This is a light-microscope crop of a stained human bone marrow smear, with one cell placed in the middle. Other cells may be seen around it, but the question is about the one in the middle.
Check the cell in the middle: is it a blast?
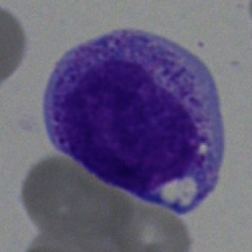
no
